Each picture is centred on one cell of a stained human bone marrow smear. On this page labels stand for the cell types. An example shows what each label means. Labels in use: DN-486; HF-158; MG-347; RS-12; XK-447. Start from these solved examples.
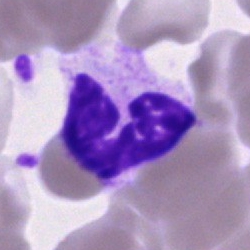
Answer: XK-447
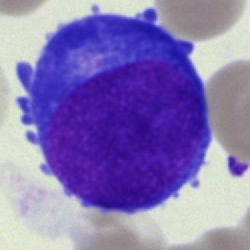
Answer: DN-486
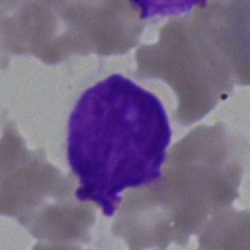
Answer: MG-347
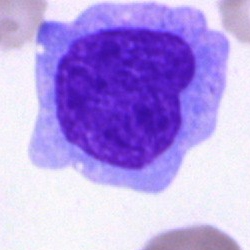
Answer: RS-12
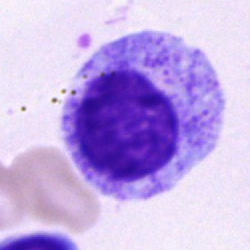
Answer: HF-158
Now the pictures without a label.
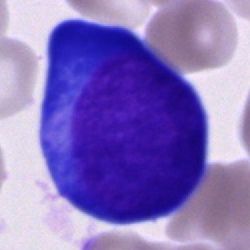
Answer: DN-486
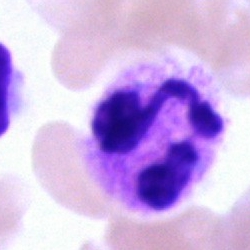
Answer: XK-447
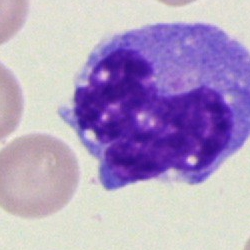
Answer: RS-12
